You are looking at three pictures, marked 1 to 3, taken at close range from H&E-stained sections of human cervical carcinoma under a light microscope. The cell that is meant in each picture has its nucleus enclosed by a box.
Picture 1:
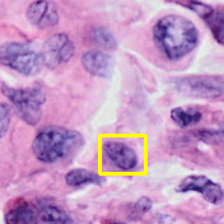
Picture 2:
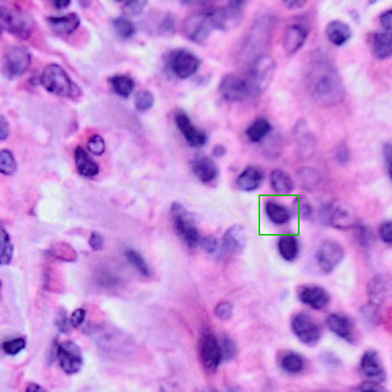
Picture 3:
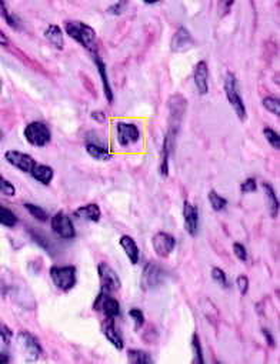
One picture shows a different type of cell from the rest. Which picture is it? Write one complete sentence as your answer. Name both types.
Unlike the rest, which show lymphocytes, picture 1 shows a “macrophage or monocyte”.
